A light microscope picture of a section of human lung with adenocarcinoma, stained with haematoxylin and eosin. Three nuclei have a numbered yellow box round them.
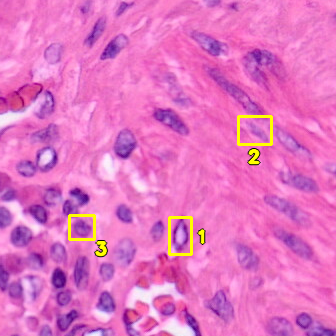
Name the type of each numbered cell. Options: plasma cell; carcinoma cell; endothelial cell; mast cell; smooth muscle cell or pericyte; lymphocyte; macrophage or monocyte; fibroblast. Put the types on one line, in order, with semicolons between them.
endothelial cell; smooth muscle cell or pericyte; plasma cell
